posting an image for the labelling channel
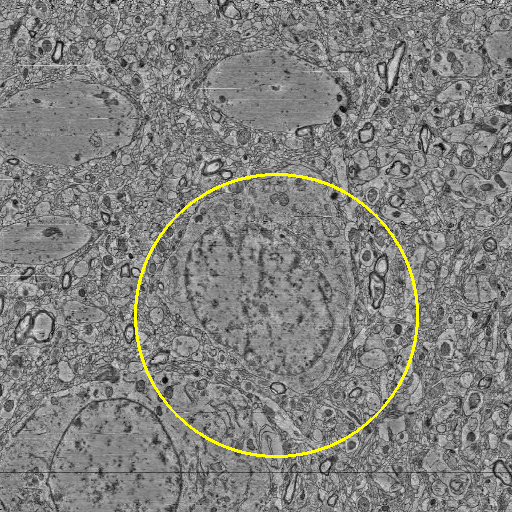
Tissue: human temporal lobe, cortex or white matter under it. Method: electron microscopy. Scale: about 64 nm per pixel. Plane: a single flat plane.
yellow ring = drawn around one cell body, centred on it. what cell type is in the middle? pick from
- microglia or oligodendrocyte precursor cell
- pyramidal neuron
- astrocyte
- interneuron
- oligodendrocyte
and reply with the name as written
interneuron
